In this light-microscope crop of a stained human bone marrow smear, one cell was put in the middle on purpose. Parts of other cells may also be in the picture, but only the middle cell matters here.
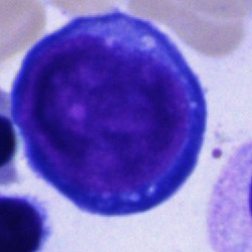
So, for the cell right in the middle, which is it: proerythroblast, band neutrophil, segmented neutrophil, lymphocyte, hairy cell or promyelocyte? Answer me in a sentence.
Classification of the middle cell gives a proerythroblast.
